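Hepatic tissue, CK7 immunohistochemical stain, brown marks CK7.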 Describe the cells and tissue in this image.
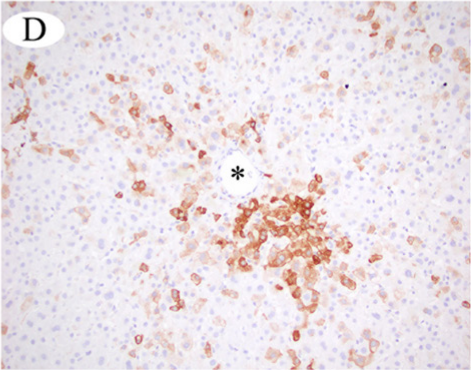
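Liver tissue shows plates of hepatocytes with blue counterstained nuclei around a round vascular lumen. Hepatocytes close to the lumen show strong brown cytoplasmic staining, forming a dense cluster on one side, while scattered brown cells thin out toward the periphery, where most hepatocytes are unstained.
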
